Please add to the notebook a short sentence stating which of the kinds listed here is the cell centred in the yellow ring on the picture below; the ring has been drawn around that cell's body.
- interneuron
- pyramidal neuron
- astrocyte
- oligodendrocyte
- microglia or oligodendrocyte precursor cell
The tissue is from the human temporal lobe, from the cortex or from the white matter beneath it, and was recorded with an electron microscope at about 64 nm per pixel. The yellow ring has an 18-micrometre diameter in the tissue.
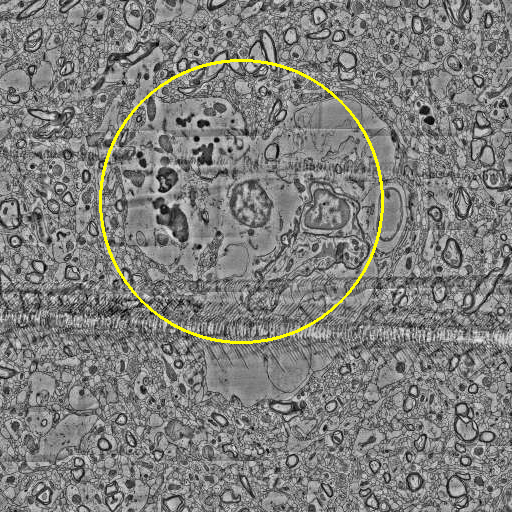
The cell centred in the yellow ring is an astrocyte.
